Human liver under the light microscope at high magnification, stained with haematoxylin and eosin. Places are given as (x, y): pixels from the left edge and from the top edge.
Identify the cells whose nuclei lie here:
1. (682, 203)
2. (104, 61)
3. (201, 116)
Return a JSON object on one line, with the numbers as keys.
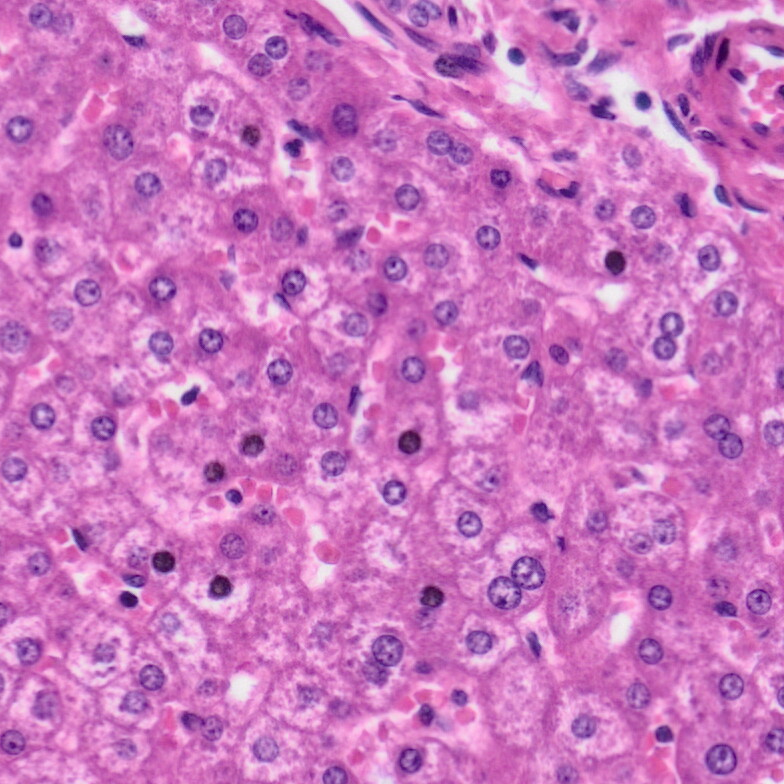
{"1": "fibroblast or stellate cell", "2": "hepatocyte", "3": "hepatocyte"}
